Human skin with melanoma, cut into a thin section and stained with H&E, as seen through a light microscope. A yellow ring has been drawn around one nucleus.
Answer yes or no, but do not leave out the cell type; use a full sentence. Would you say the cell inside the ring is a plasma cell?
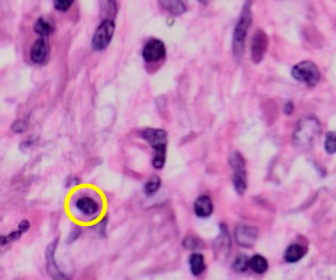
Yes, put very simply, the cell inside the ring is a plasma cell.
